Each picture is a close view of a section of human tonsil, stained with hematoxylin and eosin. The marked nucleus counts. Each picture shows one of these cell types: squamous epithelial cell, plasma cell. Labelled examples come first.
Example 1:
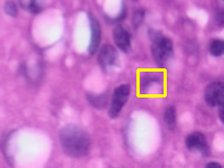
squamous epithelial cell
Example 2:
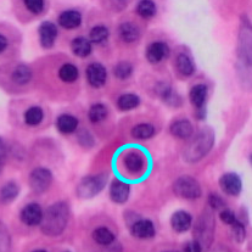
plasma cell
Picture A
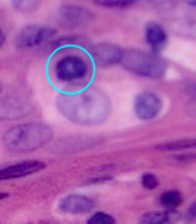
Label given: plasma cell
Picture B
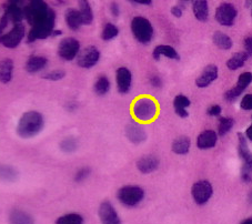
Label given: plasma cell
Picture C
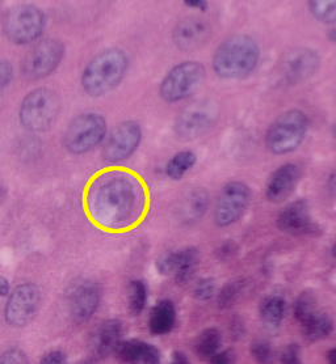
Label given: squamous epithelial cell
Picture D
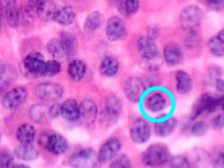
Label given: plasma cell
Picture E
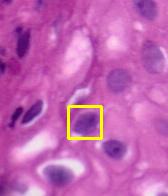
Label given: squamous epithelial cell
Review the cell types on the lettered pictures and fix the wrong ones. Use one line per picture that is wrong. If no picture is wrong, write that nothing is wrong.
B: change plasma cell to squamous epithelial cell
